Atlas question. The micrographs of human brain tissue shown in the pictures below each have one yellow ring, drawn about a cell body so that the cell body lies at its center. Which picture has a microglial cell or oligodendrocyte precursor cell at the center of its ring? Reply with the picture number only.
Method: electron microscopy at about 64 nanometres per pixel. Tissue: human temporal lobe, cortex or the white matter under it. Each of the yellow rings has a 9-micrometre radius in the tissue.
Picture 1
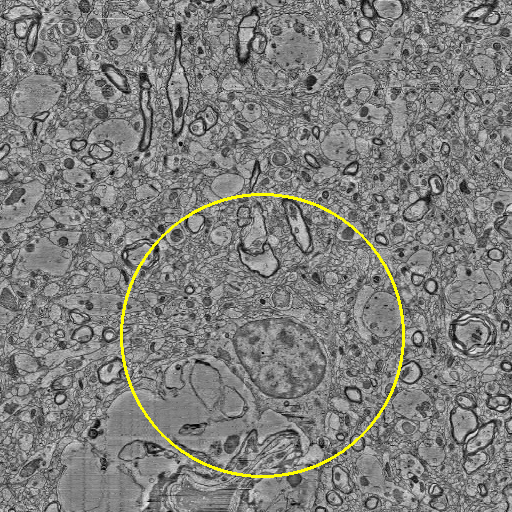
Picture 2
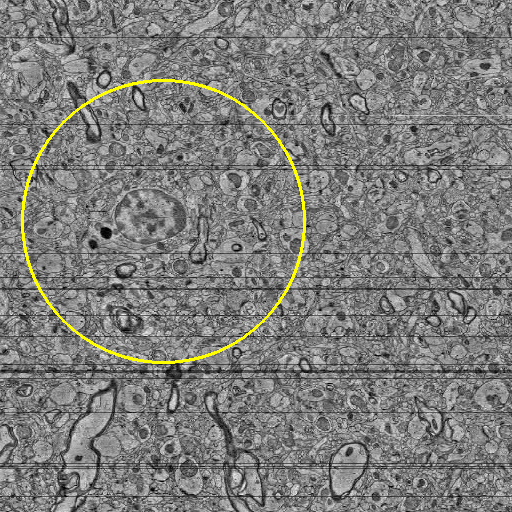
2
